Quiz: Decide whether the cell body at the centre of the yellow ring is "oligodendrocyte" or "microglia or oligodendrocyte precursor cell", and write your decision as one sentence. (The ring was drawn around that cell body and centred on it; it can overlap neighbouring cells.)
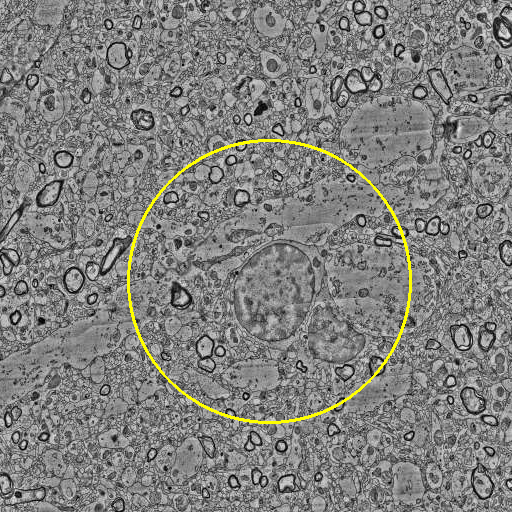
The cell the ring is centred on is an oligodendrocyte.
